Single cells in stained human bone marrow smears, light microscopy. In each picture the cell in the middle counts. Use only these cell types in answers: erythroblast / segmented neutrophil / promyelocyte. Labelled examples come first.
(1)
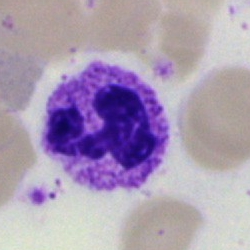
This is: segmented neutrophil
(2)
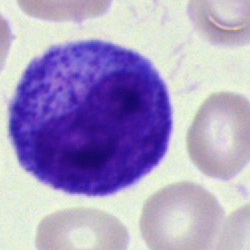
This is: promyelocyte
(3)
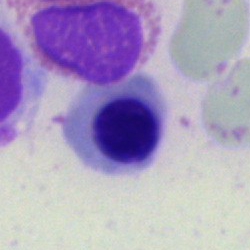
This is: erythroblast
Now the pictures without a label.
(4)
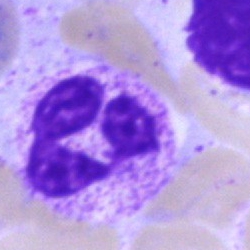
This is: segmented neutrophil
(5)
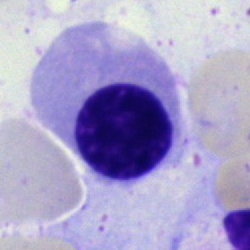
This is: erythroblast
